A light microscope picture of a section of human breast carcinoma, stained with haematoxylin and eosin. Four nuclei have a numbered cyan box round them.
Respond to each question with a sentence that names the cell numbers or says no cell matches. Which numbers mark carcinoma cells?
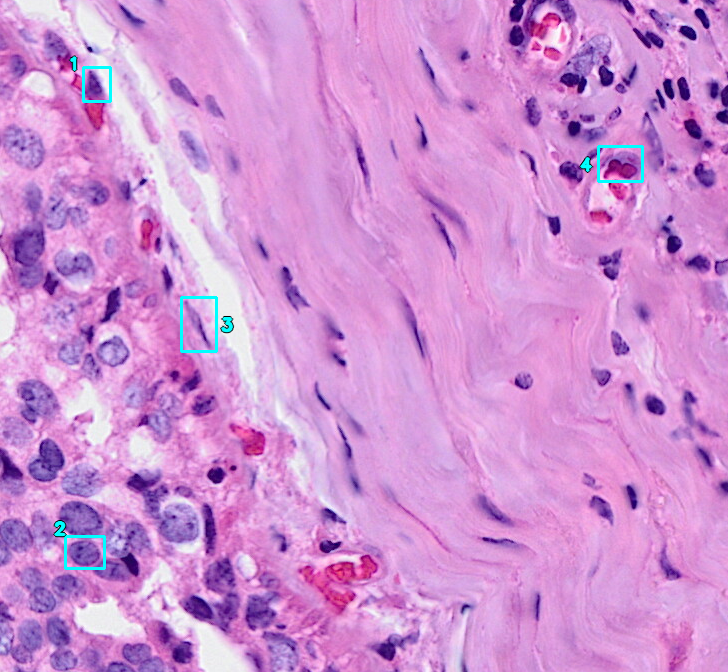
Cell 2 is a carcinoma cell and is the only numbered cell of that kind.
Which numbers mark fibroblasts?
Just the cell marked 3 is a fibroblast; none of the other marked cells is.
